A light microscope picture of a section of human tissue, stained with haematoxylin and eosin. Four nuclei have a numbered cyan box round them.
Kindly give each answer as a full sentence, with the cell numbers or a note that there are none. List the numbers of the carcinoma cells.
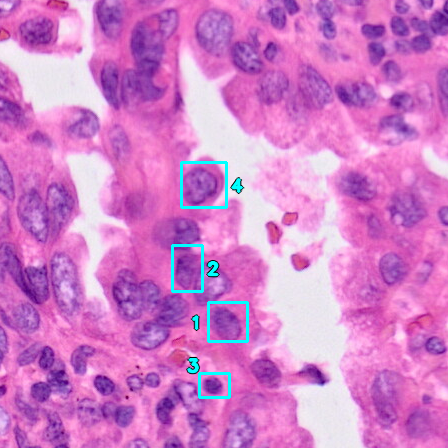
The cells tagged 1, 2 and 4 are carcinoma cells in this tissue section.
